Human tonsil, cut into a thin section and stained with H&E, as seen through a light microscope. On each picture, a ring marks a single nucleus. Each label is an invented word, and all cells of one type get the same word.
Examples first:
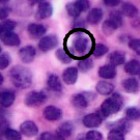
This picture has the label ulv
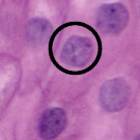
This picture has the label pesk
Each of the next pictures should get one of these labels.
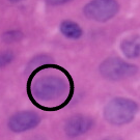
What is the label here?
pesk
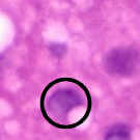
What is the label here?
pesk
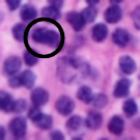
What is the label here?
ulv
